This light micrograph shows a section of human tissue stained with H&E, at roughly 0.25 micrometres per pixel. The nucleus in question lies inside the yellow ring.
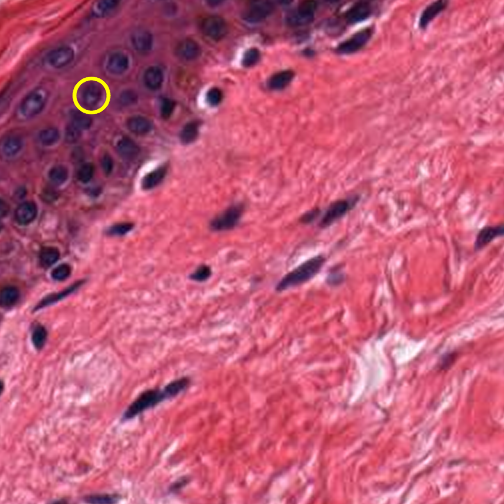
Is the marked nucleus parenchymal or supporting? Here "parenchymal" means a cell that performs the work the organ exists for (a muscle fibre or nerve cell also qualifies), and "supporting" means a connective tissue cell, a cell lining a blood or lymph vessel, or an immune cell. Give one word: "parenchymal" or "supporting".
parenchymal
